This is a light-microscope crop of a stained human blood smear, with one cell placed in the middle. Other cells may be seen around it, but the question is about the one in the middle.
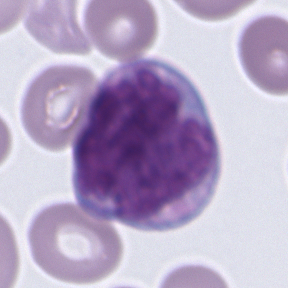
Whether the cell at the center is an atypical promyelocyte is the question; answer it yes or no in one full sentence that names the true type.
Yes, the cell at the crop's center is an atypical promyelocyte.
